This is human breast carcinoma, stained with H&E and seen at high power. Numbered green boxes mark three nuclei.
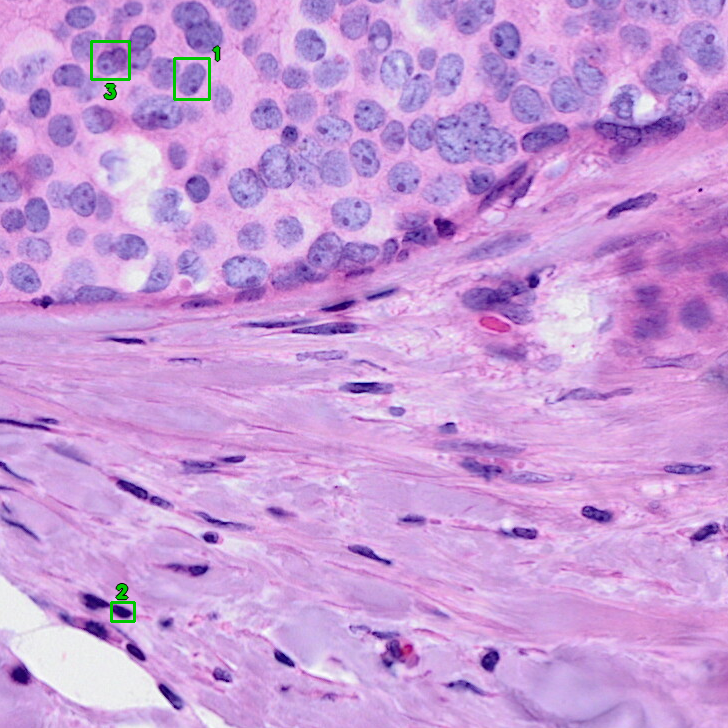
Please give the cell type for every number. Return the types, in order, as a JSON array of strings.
["carcinoma cell", "lymphocyte", "carcinoma cell"]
